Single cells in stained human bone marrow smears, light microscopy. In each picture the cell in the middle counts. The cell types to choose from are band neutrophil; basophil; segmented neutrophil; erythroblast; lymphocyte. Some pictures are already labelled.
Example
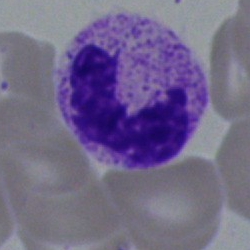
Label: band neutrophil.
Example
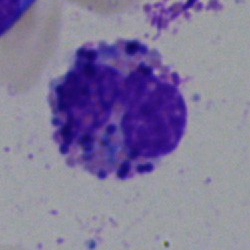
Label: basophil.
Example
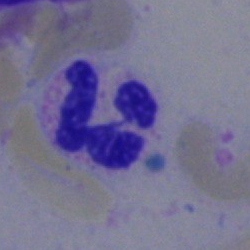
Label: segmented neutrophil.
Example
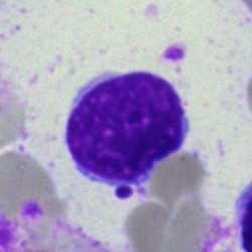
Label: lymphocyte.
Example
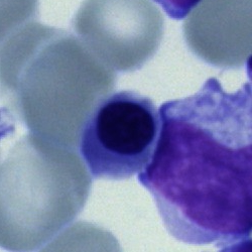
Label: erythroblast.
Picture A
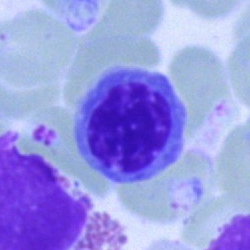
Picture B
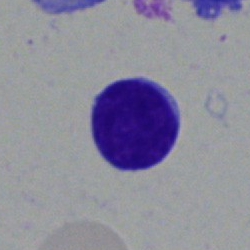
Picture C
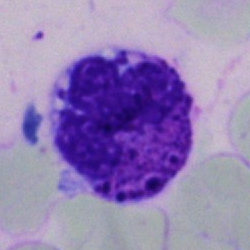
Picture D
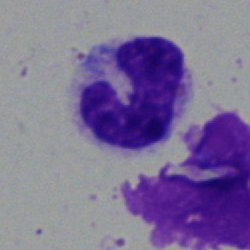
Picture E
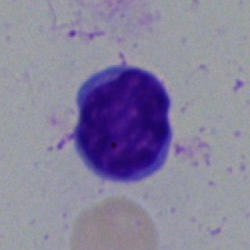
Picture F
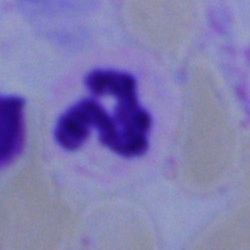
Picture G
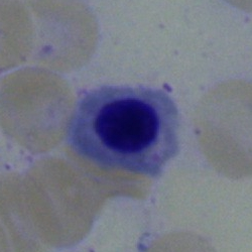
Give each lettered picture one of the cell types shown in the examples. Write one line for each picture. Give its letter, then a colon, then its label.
A: erythroblast.
B: lymphocyte.
C: basophil.
D: band neutrophil.
E: lymphocyte.
F: segmented neutrophil.
G: erythroblast.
